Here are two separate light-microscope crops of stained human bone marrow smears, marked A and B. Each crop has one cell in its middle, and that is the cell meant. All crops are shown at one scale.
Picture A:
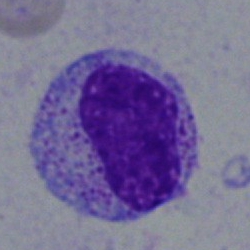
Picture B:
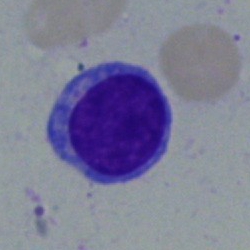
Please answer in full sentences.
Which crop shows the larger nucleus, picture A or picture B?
The nucleus in picture A is larger, with about 1.5 times the area of the one in picture B.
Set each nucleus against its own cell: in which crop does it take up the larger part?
In picture B the nucleus takes up the larger part of its cell.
